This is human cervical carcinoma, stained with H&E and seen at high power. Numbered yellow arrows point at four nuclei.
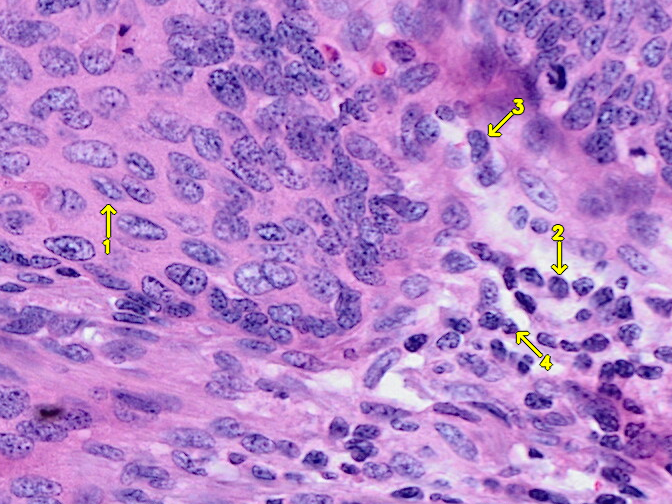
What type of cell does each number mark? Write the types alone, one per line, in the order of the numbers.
squamous carcinoma cell
lymphocyte
lymphocyte
lymphocyte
